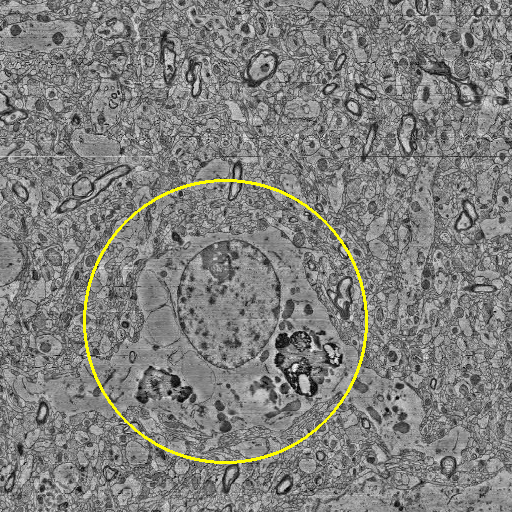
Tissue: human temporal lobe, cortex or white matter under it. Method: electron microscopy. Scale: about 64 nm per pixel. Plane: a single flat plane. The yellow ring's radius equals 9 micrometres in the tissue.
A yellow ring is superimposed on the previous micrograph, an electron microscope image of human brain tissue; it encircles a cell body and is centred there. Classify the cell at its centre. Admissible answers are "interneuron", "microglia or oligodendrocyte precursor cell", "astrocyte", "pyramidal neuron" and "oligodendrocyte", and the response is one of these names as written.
astrocyte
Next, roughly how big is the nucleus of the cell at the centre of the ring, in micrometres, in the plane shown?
In this plane the nucleus is about 9 micrometres by 6.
